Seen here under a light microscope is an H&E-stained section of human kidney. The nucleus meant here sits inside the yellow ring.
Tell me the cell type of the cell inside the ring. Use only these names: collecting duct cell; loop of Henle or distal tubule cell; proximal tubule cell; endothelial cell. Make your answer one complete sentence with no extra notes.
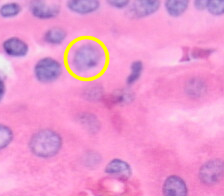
By cell type, the cell inside the ring is a loop of Henle or distal tubule cell.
